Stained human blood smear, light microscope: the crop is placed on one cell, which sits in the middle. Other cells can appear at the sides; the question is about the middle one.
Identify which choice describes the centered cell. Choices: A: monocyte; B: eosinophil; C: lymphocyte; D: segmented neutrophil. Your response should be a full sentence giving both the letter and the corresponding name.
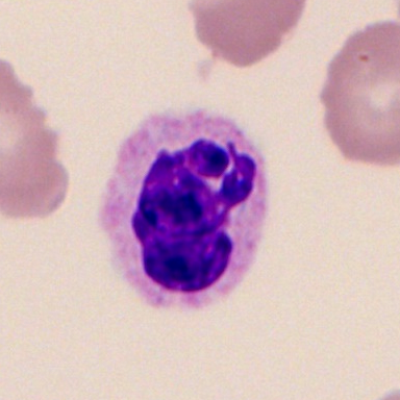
Option D gives the correct identity of the central cell, namely a segmented neutrophil.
